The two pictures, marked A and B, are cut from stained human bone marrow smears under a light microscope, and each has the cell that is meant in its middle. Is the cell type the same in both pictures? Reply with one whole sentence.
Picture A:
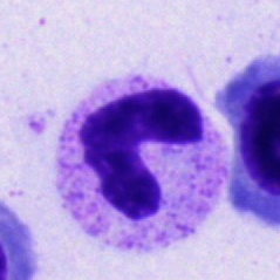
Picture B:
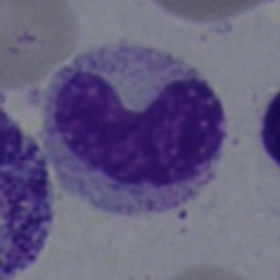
Yes, the two pictures both show band neutrophils.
